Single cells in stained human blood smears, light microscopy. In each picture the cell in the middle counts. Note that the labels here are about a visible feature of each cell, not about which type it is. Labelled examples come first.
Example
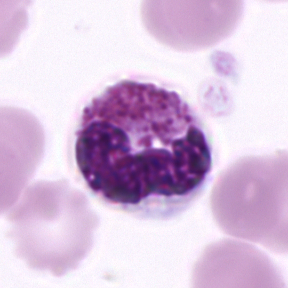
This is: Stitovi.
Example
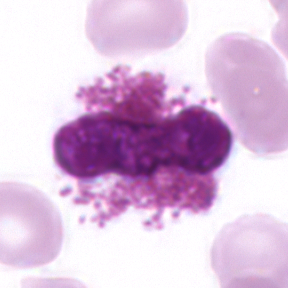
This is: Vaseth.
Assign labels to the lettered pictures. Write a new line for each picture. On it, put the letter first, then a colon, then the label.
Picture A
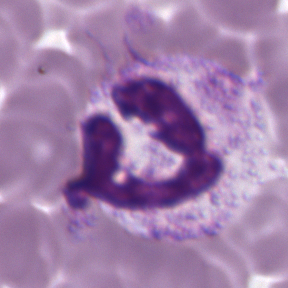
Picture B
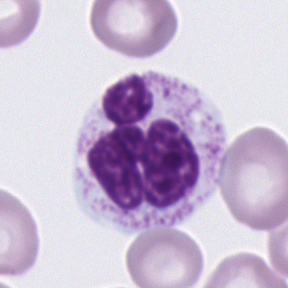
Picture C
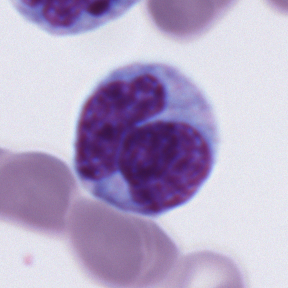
A: Vaseth.
B: Stitovi.
C: Stitovi.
